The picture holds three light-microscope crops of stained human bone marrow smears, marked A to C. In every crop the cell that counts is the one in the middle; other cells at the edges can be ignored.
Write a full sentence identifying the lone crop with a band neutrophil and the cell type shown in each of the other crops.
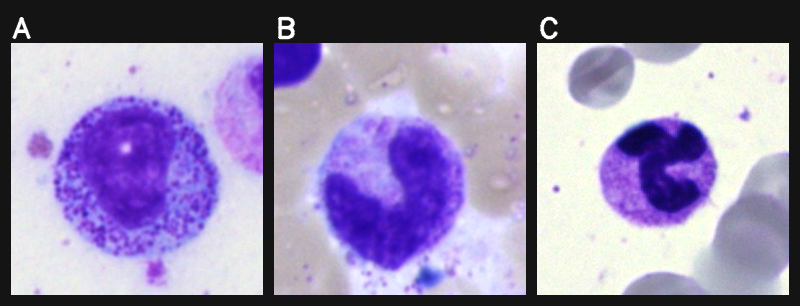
In short, crop B is a band neutrophil, and crop A is a myelocyte and crop C is a segmented neutrophil.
